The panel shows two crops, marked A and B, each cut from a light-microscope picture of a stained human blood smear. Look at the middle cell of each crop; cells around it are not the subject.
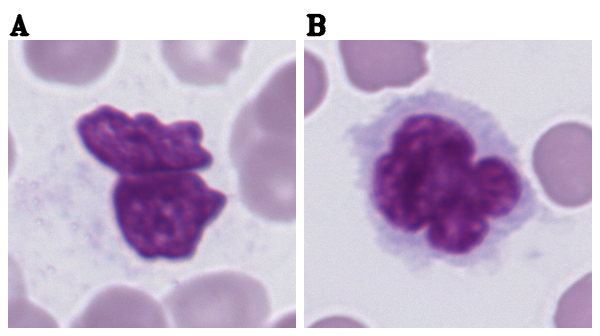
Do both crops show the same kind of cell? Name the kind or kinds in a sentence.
No, crop A shows a smudge cell, and crop B, by contrast, shows a hairy cell.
